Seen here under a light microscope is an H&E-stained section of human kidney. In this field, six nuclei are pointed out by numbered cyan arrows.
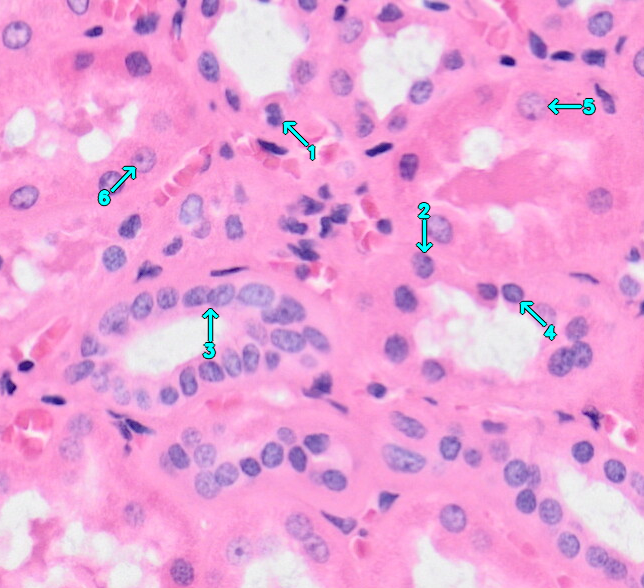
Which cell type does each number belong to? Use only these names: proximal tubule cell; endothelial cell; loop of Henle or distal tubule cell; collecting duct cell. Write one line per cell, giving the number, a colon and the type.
1: loop of Henle or distal tubule cell
2: loop of Henle or distal tubule cell
3: collecting duct cell
4: loop of Henle or distal tubule cell
5: proximal tubule cell
6: proximal tubule cell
